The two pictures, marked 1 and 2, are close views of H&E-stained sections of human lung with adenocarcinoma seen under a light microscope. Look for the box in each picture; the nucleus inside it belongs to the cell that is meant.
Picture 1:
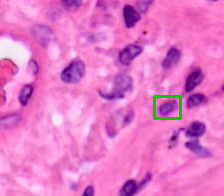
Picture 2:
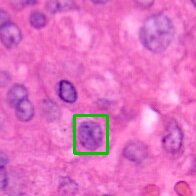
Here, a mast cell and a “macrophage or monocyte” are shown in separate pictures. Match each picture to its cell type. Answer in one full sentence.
Picture 1 shows a mast cell and picture 2 shows a “macrophage or monocyte”.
